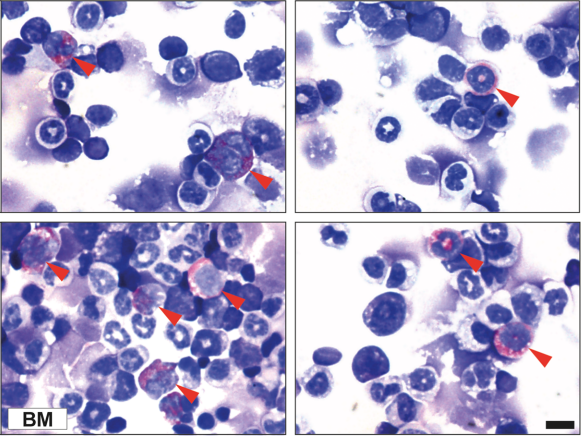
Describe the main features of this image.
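Four fields are arranged in a grid. Most cells are round, with dark blue-purple nuclei that vary from compact and round to ring-shaped or indented. Many cells have scant pale or light blue cytoplasm. The lower fields look more crowded than the upper ones and hold more of the granular red-pink cells. Between the cells is a pale lilac background.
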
